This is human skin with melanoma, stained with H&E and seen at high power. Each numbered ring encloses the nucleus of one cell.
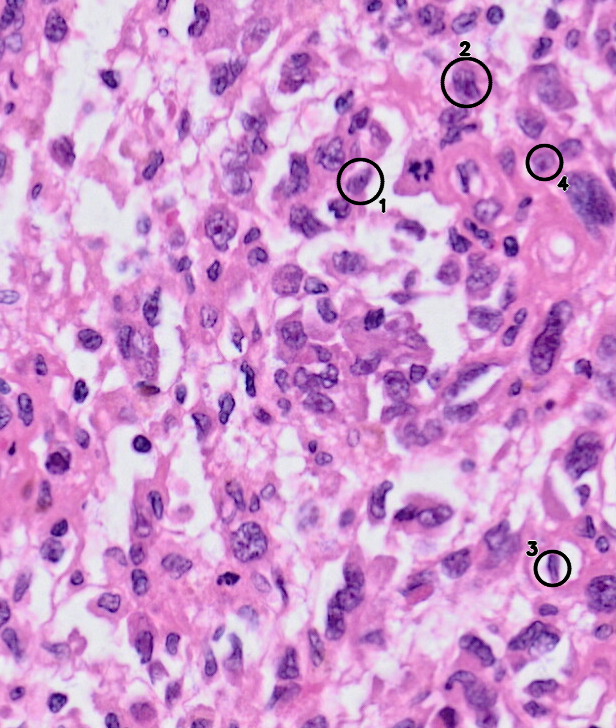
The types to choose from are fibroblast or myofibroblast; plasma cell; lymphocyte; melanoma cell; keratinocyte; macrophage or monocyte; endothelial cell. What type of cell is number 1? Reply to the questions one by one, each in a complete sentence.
The cell pointed out by number 1 is a melanoma cell.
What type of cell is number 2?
Heads up, the cell numbered 2 is a melanoma cell.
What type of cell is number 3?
The nucleus with number 3 is that of an endothelial cell.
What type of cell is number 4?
The nucleus labeled 4 belongs to a melanoma cell.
